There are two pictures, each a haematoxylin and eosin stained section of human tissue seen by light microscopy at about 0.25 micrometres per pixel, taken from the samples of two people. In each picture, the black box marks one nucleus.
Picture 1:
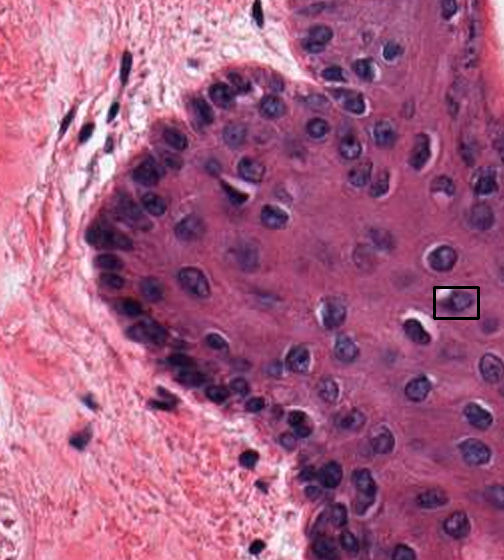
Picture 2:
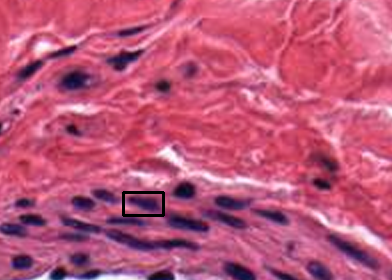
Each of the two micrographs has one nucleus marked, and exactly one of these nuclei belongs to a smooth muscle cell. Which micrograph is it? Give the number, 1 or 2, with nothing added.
2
